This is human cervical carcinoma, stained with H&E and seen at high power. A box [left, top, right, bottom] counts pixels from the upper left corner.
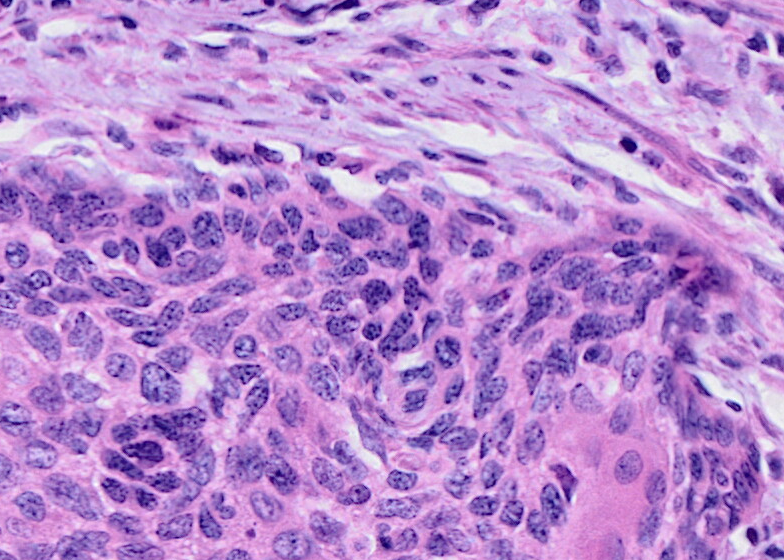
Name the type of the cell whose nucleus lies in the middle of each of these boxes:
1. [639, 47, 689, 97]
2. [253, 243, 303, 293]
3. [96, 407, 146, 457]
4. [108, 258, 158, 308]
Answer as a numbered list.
1. lymphocyte
2. squamous carcinoma cell
3. squamous carcinoma cell
4. squamous carcinoma cell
